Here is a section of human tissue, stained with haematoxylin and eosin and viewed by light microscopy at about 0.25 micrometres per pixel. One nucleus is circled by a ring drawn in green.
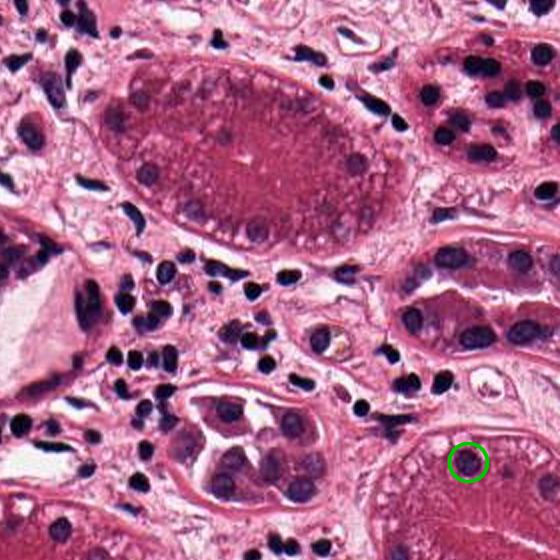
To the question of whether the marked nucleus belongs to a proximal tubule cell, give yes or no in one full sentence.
Yes, the cell to which the marked nucleus belongs is a proximal tubule cell.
